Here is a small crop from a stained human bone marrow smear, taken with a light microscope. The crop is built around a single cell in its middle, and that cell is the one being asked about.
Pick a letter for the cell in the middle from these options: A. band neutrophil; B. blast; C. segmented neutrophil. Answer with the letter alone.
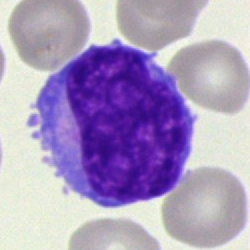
B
